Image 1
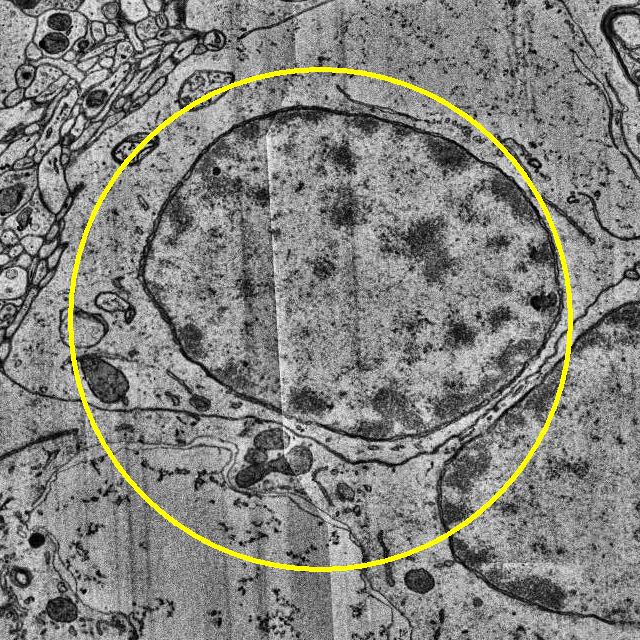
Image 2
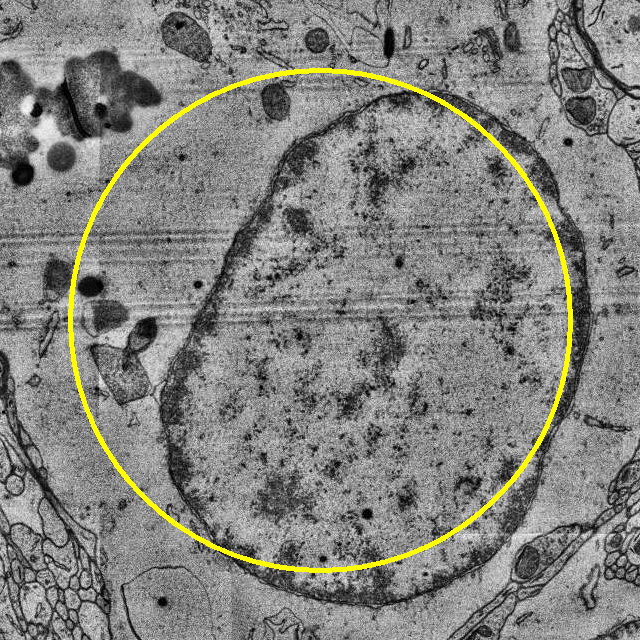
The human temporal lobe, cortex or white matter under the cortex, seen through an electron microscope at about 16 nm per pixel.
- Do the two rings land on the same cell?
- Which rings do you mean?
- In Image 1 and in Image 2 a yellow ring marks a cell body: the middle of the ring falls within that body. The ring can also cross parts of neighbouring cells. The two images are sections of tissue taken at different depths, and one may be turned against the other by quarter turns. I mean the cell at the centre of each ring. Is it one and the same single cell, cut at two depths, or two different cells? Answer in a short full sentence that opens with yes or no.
No, the cells within these rings are two separate cells.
